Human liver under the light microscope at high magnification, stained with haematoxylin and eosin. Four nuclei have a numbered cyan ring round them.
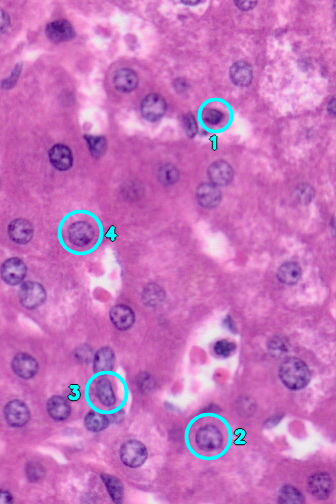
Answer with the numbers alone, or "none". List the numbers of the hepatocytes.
2, 4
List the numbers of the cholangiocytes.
3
